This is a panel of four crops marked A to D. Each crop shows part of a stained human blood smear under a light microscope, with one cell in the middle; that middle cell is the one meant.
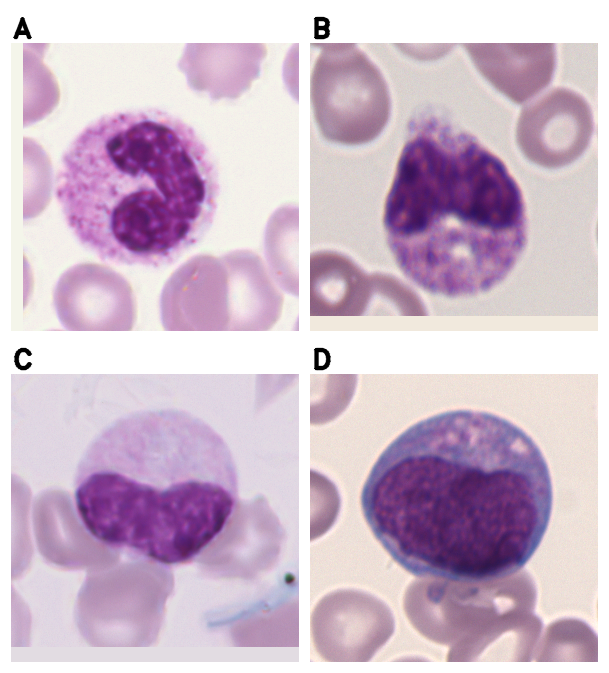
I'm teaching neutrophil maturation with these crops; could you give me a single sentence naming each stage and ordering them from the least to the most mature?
The sequence of maturation runs crop D (a promyelocyte), crop C (a metamyelocyte), crop A (a band neutrophil) and crop B (a segmented neutrophil), from least to most mature.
